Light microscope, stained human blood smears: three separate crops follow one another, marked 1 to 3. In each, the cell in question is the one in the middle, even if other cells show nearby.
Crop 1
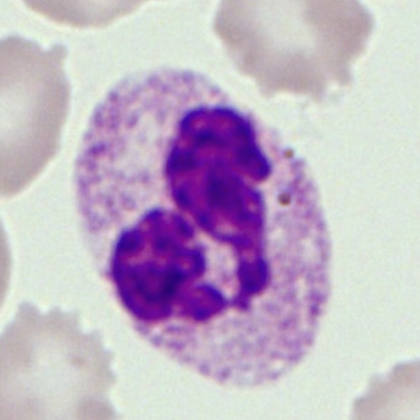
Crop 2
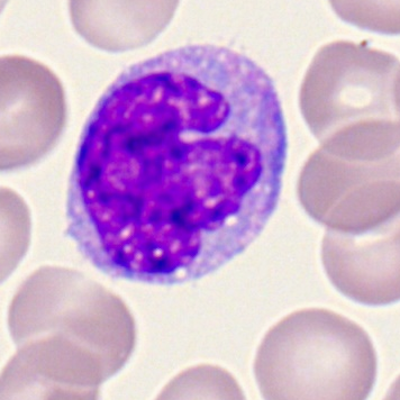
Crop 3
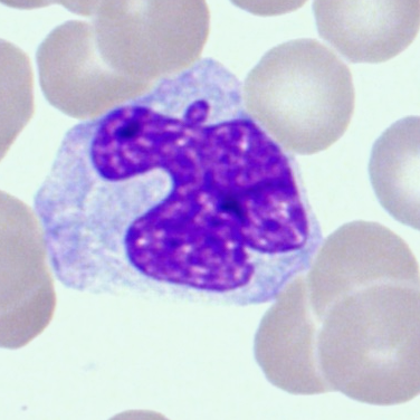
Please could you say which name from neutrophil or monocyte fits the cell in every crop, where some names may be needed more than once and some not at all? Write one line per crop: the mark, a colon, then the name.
1: neutrophil
2: monocyte
3: monocyte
